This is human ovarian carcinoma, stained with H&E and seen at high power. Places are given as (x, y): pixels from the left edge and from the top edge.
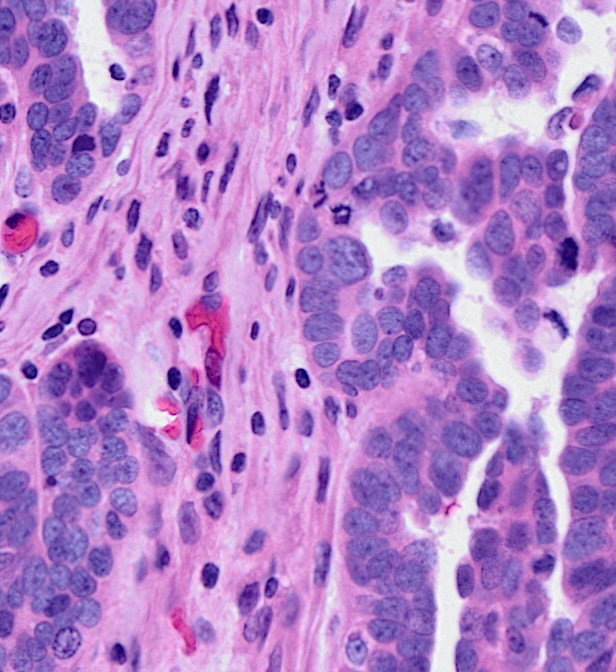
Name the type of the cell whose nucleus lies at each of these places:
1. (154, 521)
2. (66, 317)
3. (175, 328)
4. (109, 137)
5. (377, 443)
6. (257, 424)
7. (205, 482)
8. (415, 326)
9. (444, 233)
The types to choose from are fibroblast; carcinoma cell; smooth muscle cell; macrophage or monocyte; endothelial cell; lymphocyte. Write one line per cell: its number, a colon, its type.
1: fibroblast
2: lymphocyte
3: lymphocyte
4: carcinoma cell
5: carcinoma cell
6: lymphocyte
7: lymphocyte
8: carcinoma cell
9: macrophage or monocyte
